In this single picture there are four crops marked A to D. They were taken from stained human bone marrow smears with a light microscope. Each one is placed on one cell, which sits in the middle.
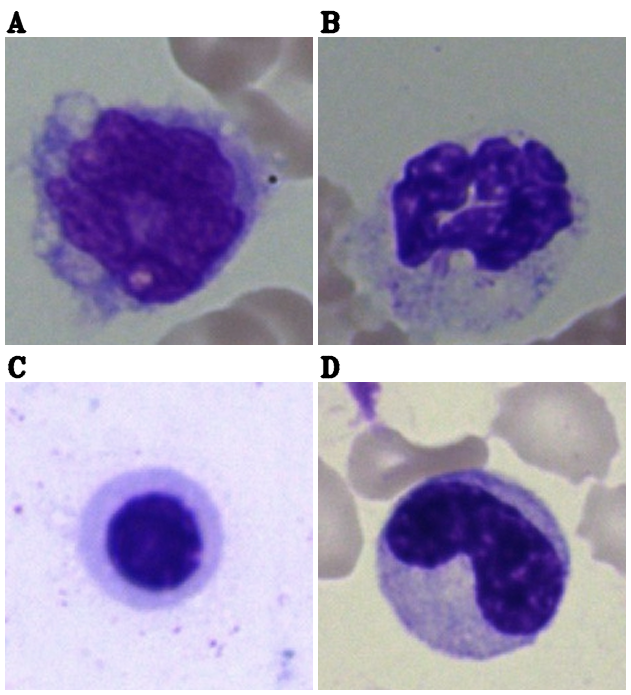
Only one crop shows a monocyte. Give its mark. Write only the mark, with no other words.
A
